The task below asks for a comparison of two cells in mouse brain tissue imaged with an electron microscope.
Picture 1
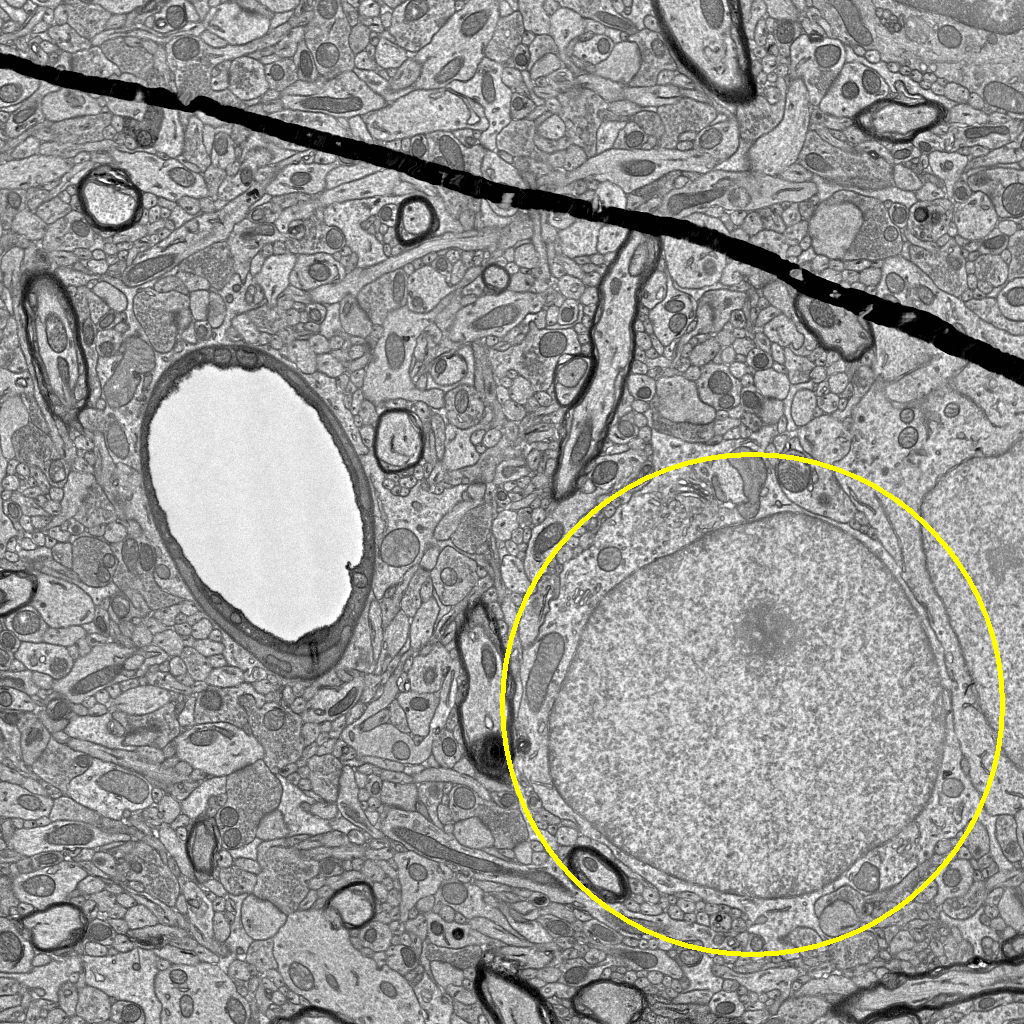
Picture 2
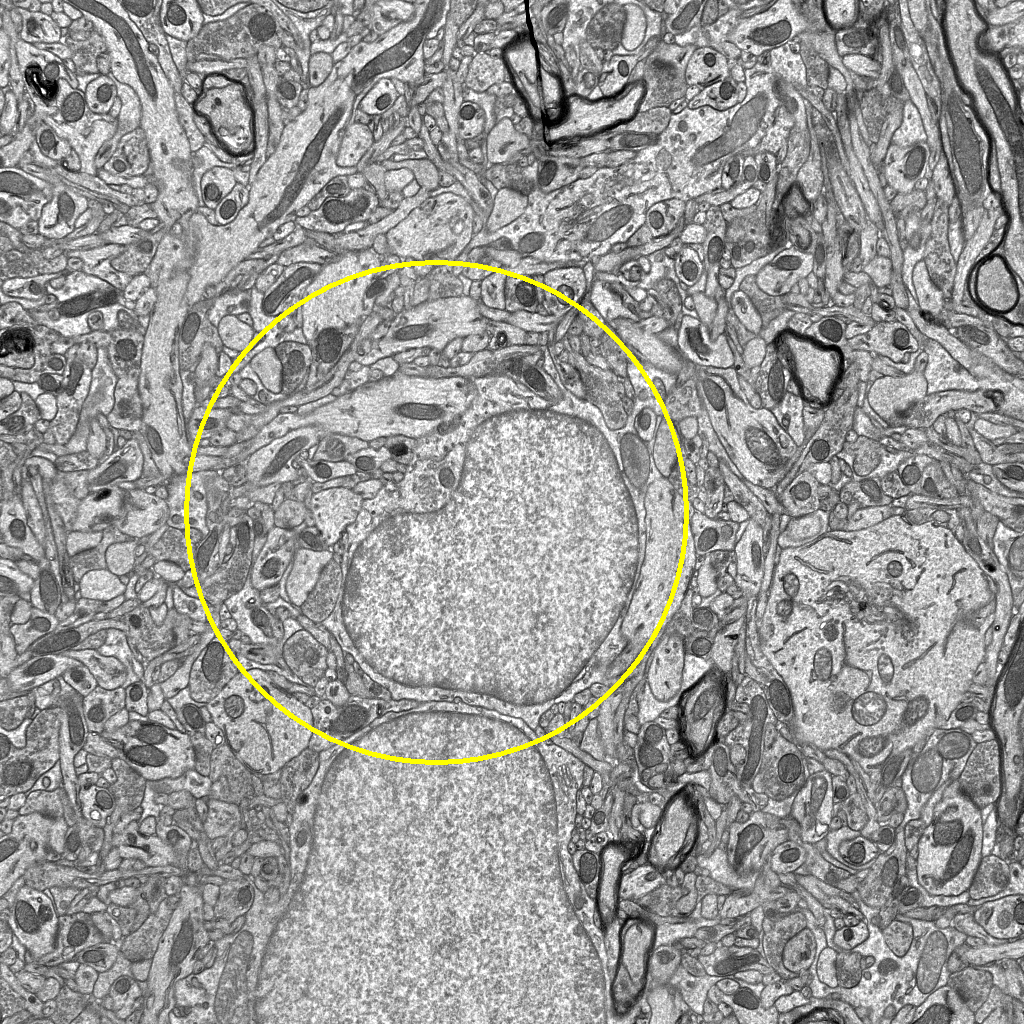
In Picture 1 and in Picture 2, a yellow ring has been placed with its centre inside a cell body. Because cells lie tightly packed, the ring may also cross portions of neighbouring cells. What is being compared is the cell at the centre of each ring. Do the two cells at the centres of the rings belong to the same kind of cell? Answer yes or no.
yes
